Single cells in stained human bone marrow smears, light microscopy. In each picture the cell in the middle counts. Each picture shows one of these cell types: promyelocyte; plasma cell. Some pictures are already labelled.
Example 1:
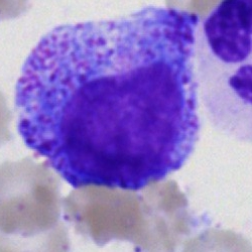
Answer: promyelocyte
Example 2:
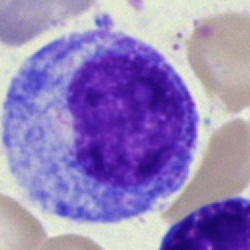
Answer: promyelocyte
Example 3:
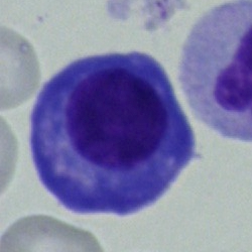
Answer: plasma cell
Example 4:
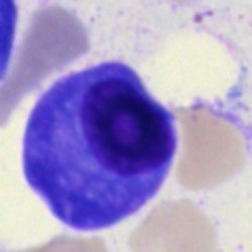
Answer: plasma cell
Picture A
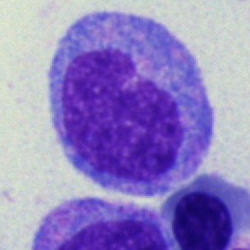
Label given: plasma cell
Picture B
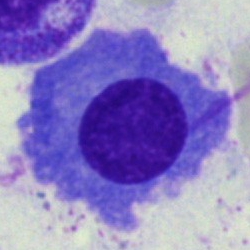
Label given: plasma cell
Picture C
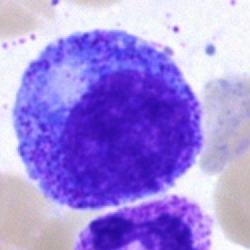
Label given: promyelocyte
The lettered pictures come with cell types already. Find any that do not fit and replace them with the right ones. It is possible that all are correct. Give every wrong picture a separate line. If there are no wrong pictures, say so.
A should be promyelocyte, not plasma cell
